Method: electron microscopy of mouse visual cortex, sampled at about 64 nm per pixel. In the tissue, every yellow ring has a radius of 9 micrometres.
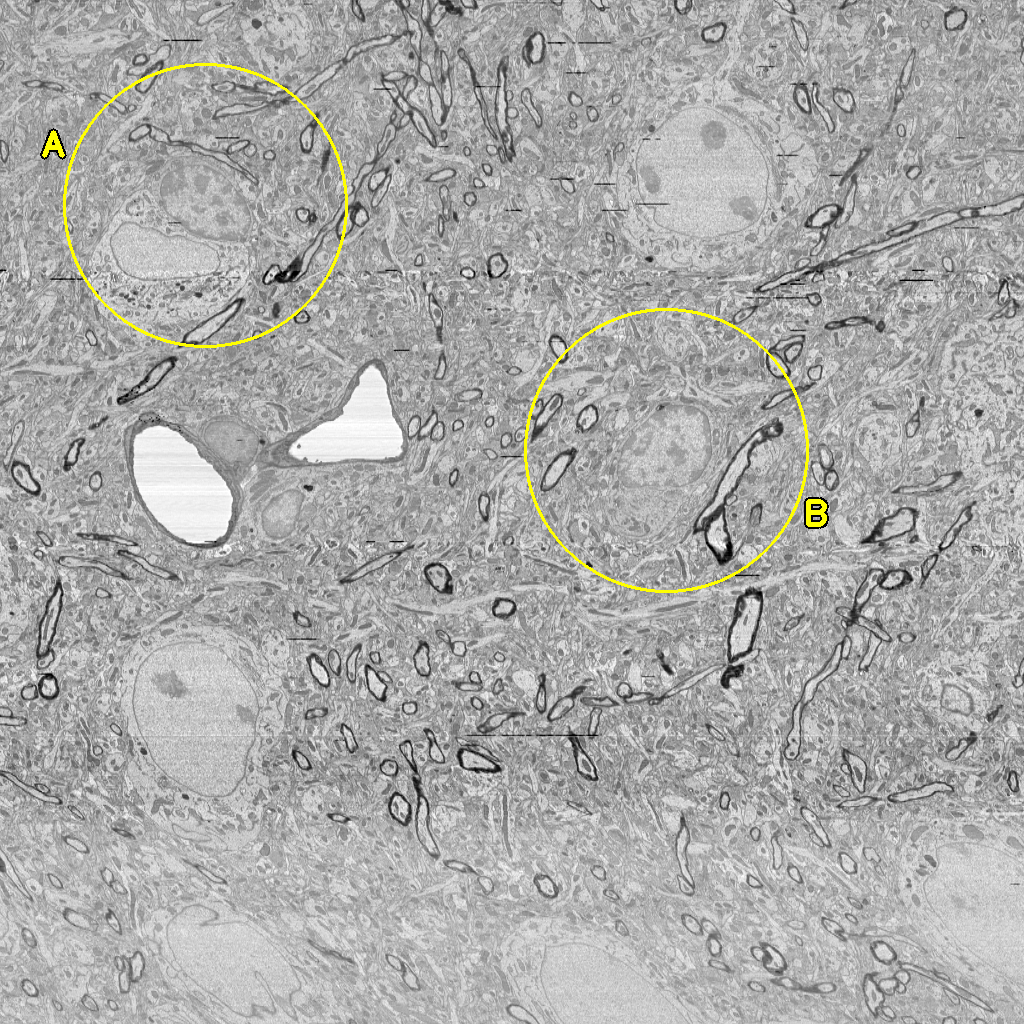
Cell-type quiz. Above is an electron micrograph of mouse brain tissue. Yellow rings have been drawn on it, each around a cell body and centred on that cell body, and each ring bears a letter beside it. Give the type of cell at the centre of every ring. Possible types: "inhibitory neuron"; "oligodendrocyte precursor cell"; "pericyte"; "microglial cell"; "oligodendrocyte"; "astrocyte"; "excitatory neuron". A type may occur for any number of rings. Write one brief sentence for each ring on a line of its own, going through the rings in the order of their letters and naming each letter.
Ring A is centred on the cell body of an oligodendrocyte.
Ring B is centred on the cell body of an oligodendrocyte.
